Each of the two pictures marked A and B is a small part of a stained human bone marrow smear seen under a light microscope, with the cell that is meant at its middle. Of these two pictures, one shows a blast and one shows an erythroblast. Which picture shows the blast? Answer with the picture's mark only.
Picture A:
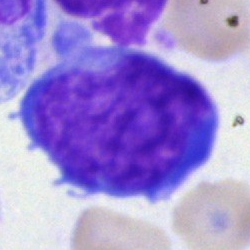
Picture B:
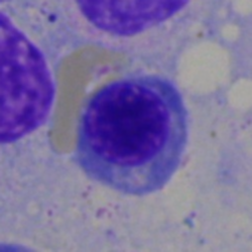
A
